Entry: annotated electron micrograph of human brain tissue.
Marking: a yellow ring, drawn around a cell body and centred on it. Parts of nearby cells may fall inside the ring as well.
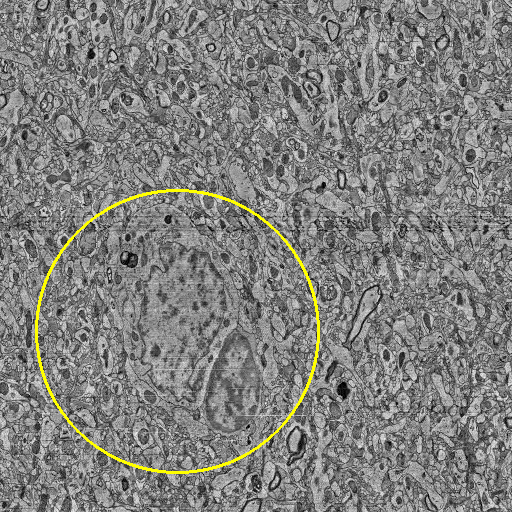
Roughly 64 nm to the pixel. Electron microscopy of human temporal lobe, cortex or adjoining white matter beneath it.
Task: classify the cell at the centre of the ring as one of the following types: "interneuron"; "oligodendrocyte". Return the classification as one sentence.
The marked cell is classified as an interneuron.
